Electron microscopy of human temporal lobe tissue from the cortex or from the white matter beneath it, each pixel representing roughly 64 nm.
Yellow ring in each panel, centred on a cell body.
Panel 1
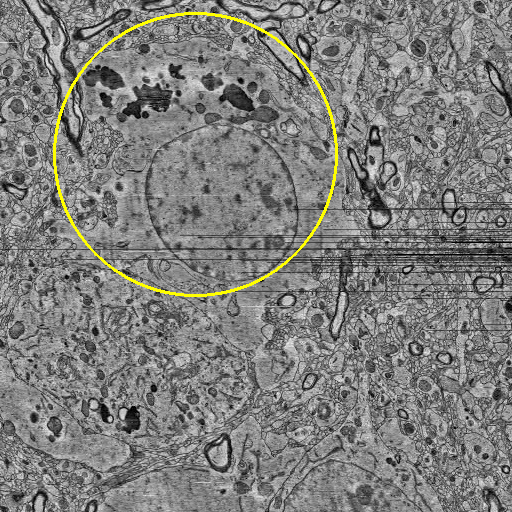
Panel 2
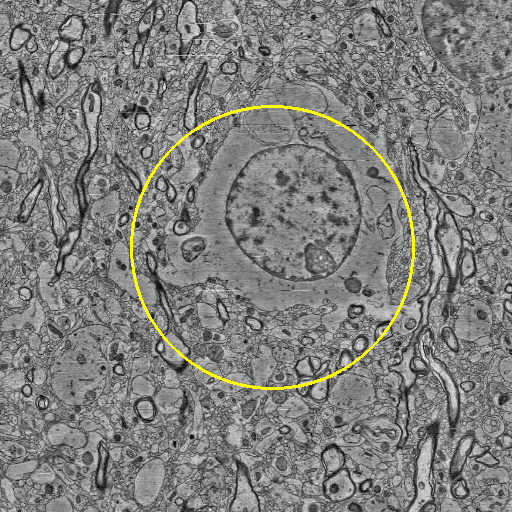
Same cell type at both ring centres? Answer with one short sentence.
Yes, both cells are of the same type.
